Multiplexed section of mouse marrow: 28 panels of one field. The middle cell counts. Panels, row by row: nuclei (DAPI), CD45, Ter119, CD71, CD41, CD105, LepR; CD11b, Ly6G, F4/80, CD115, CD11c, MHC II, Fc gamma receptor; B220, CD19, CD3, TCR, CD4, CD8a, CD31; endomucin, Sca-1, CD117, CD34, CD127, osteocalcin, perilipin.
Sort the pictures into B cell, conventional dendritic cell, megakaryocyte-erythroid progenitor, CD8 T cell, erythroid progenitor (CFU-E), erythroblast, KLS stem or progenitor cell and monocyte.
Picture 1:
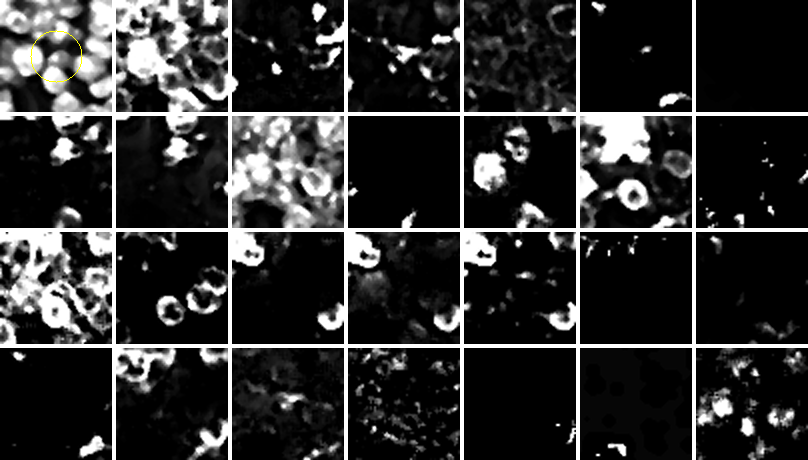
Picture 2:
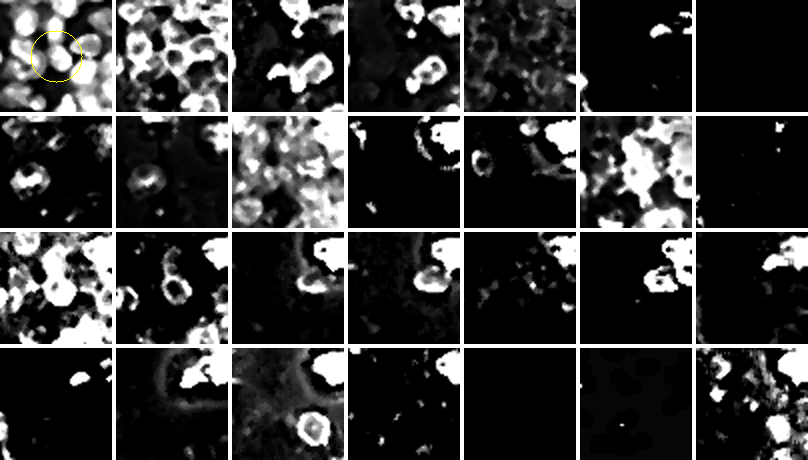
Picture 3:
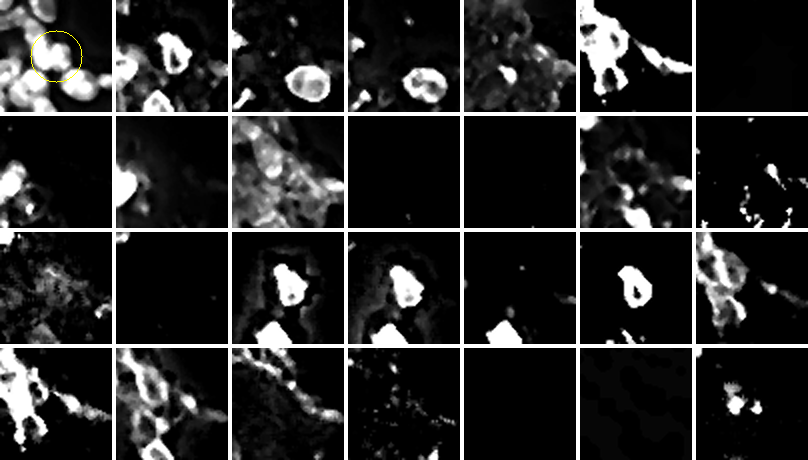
Erythroid progenitors (CFU-E): 1
B cells: 2
CD8 T cells: 3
